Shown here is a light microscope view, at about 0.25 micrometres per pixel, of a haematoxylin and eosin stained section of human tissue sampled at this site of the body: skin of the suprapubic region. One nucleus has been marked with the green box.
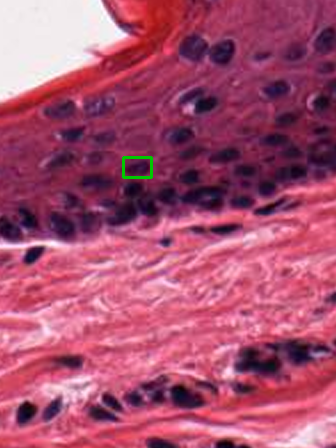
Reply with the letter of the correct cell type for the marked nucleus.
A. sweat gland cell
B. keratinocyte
B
